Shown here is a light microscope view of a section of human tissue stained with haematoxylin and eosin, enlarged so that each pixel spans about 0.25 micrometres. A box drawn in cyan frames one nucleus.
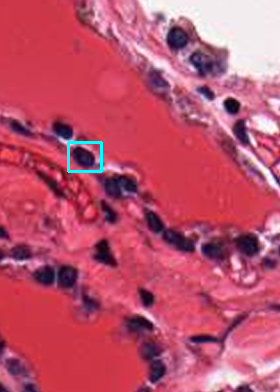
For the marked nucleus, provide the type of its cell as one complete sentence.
Marked in this picture is the nucleus of a thyroid follicular cell.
